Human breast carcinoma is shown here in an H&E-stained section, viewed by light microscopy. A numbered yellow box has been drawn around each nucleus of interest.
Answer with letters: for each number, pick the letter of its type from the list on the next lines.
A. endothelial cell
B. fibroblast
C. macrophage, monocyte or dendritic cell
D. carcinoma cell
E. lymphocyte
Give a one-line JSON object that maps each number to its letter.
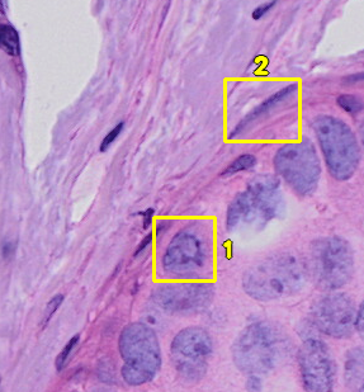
{"1": "D", "2": "B"}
